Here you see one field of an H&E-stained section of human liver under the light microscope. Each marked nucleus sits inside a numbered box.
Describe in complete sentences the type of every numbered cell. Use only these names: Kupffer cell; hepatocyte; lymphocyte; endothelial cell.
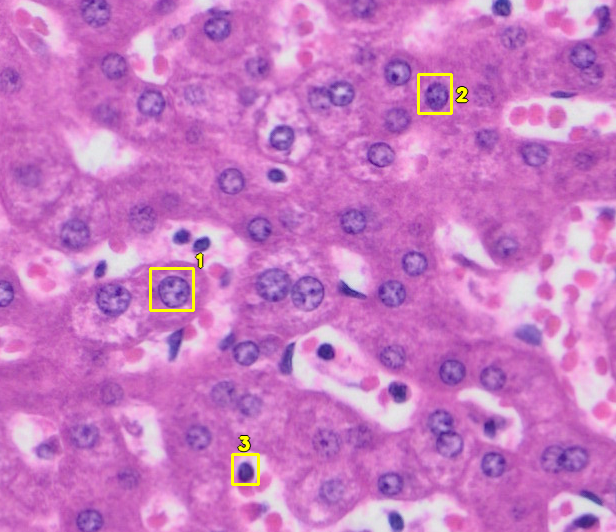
Cells 1 and 2 are hepatocytes. Cell 3 is a lymphocyte.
